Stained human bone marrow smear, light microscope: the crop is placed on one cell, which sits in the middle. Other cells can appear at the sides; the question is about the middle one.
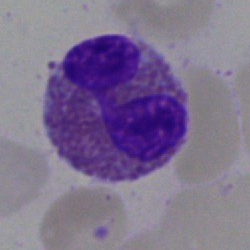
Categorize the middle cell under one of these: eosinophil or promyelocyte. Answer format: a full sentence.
The cell centered in this field of view is an eosinophil.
